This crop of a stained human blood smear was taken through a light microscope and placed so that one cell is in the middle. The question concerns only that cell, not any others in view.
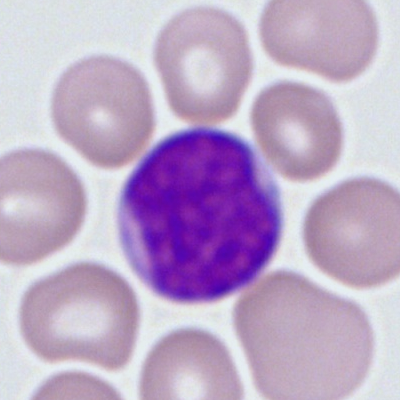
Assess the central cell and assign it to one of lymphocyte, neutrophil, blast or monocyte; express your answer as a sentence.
In the middle of this smear crop is a blast.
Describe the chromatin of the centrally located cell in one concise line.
What stands out is chromatin that is coarsely clumped.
